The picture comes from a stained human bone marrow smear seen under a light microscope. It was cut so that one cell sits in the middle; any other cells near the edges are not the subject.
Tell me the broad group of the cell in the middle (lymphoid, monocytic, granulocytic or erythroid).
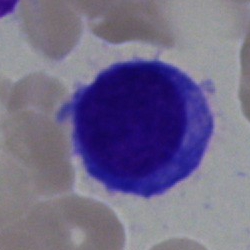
lymphoid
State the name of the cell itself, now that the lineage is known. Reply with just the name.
plasma cell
